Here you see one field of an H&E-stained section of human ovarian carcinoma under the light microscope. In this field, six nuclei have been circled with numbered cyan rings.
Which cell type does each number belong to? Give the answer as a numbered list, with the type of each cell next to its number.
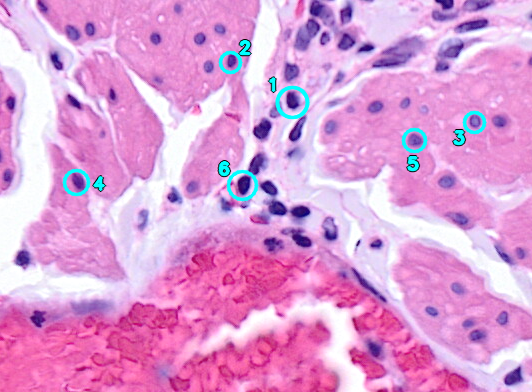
1. lymphocyte
2. smooth muscle cell
3. smooth muscle cell
4. smooth muscle cell
5. smooth muscle cell
6. lymphocyte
